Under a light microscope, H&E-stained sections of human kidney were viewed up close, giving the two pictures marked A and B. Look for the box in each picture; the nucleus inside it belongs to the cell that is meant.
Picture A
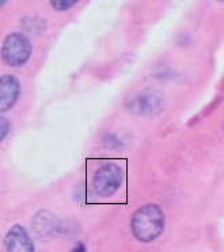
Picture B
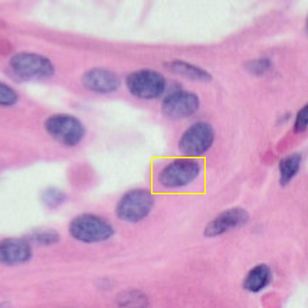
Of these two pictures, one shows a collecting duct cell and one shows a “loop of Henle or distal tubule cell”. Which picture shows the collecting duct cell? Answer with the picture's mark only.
A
